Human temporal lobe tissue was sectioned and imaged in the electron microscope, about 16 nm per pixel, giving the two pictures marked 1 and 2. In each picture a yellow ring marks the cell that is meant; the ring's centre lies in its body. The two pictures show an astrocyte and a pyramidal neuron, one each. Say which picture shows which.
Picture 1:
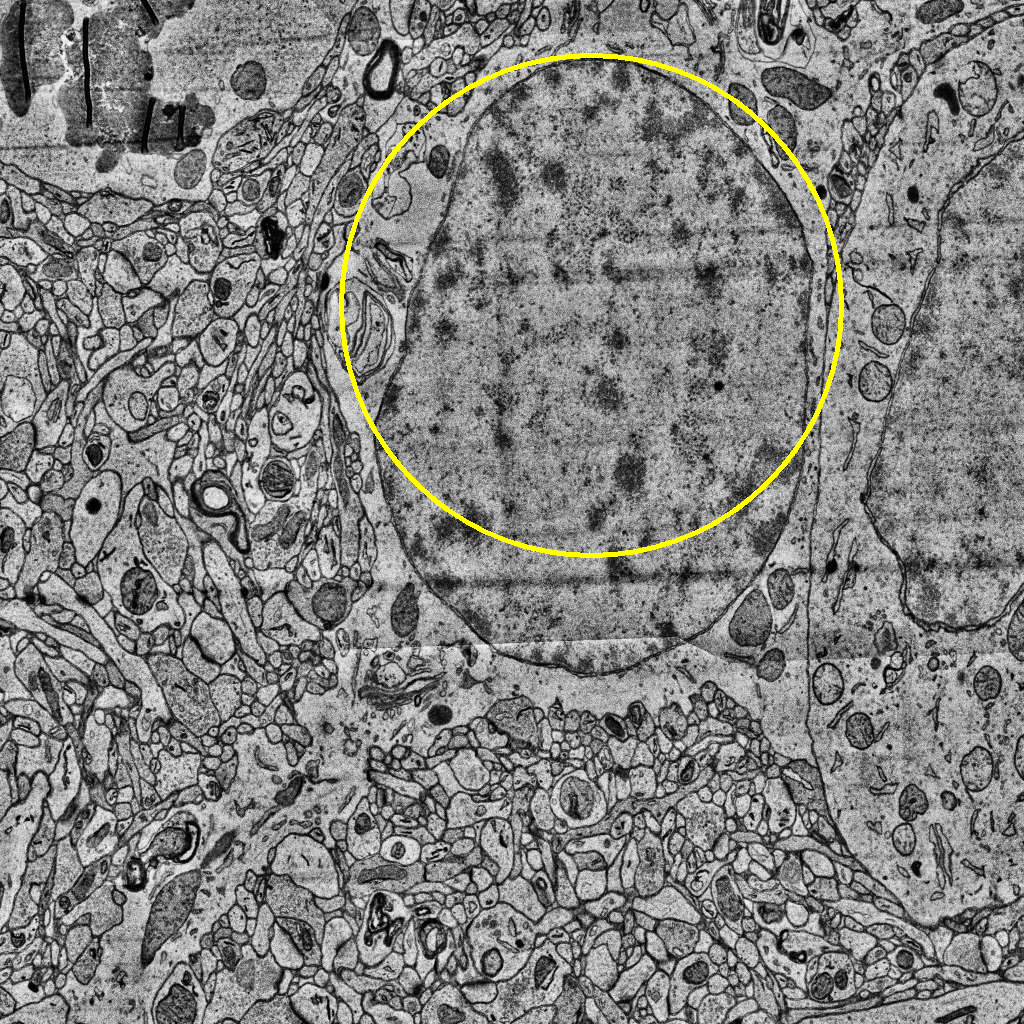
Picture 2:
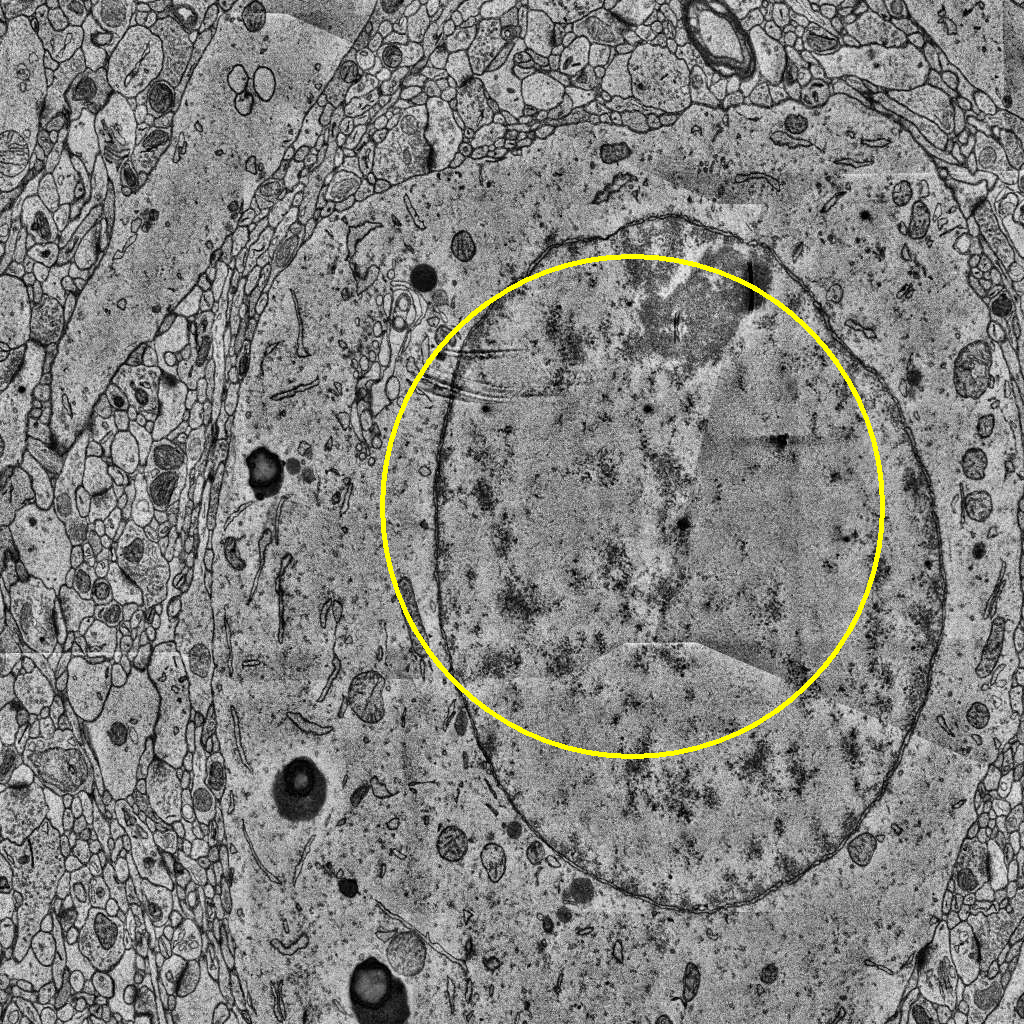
The cell in picture 1 is an astrocyte, and the one in picture 2 is a pyramidal neuron.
